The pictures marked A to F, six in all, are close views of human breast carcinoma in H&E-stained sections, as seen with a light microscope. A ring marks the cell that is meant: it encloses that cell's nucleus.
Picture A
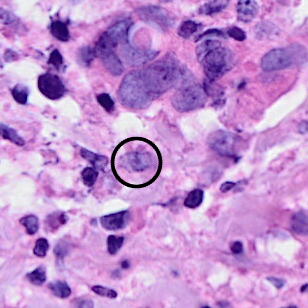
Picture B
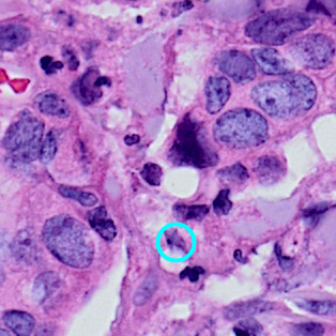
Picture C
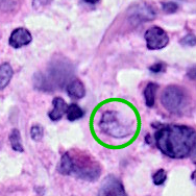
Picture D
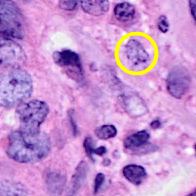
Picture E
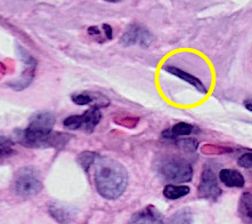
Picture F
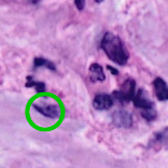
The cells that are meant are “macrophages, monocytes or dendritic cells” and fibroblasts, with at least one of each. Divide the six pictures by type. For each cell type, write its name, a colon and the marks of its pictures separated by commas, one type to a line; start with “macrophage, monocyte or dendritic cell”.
macrophage, monocyte or dendritic cell: A, B, C, D
fibroblast: E, F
